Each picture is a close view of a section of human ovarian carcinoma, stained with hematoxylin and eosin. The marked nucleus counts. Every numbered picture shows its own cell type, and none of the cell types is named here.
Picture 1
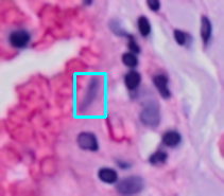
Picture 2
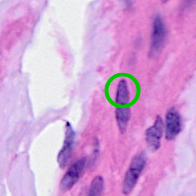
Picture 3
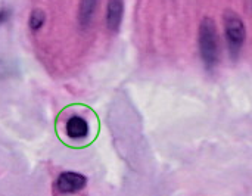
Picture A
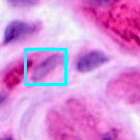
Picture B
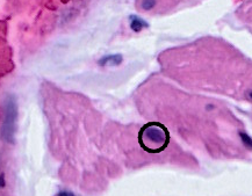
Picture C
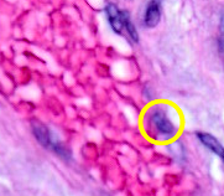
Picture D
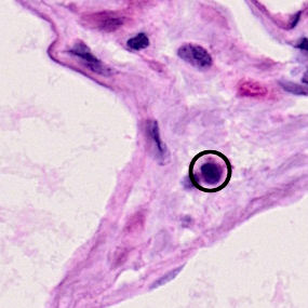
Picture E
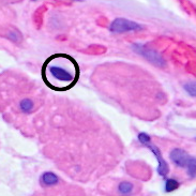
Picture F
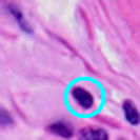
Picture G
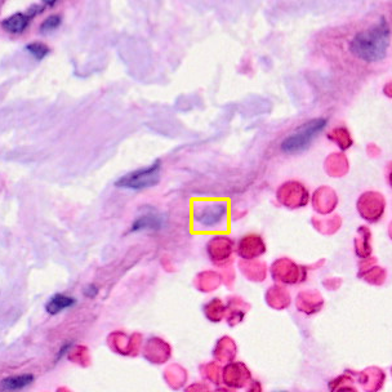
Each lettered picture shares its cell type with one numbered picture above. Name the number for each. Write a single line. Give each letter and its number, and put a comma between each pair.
A 1, B 2, C 1, D 3, E 3, F 3, G 1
